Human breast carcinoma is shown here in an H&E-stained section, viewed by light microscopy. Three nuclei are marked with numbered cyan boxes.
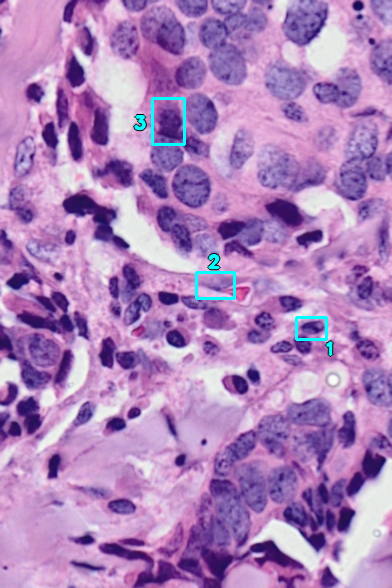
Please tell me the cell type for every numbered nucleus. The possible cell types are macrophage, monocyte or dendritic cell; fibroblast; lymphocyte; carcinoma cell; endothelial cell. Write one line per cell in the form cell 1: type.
cell 1: lymphocyte
cell 2: endothelial cell
cell 3: carcinoma cell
